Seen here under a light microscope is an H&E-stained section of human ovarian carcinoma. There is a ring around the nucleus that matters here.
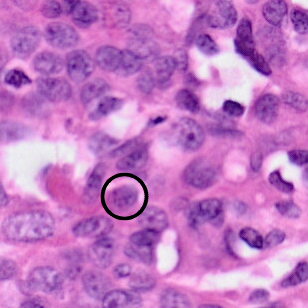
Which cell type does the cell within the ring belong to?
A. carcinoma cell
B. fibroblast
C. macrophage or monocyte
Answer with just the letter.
A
